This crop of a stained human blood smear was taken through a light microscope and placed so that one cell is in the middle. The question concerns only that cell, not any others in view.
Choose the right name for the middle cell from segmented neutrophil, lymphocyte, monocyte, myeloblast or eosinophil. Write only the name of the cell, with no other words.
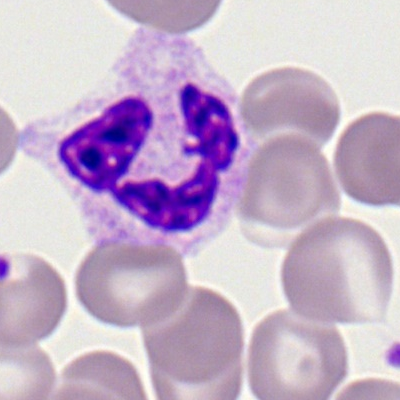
segmented neutrophil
